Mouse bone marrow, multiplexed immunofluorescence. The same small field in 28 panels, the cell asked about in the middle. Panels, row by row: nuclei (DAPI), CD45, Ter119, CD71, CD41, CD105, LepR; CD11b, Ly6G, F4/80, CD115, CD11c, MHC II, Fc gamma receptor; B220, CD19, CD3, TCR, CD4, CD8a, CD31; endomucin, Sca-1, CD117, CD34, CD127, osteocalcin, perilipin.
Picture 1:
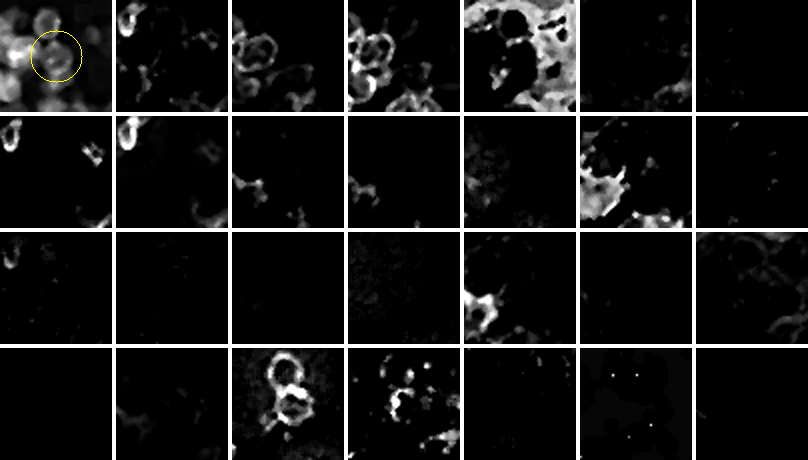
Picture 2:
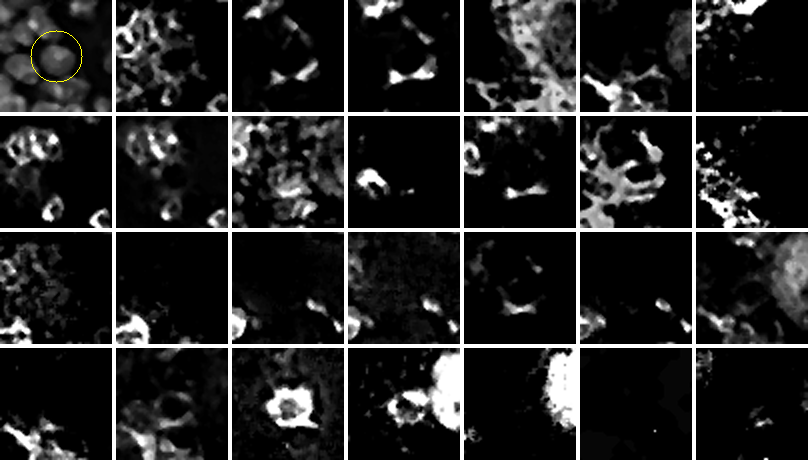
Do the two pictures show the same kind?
Yes, both are common myeloid progenitors.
